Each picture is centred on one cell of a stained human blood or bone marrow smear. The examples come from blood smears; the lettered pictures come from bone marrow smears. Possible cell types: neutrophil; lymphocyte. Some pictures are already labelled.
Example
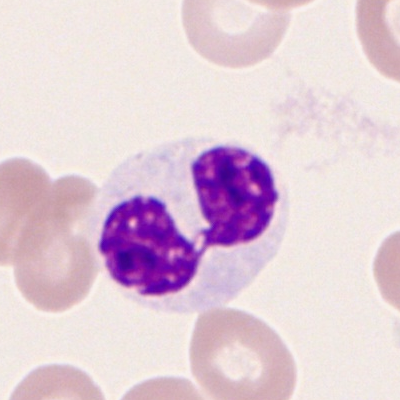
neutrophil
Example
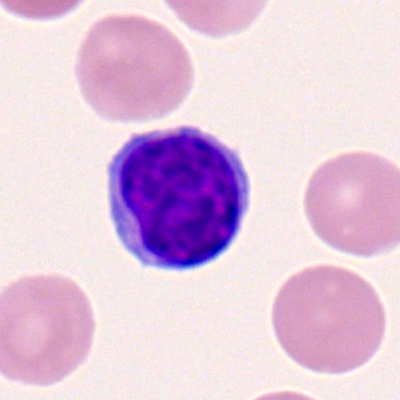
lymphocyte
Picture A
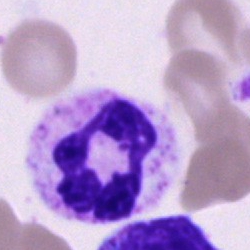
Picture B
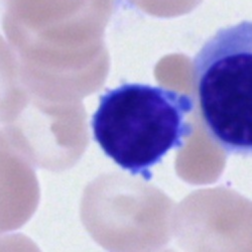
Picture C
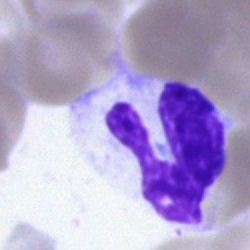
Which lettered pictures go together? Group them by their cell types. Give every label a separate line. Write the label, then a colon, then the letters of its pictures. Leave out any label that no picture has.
neutrophil: A, C
lymphocyte: B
